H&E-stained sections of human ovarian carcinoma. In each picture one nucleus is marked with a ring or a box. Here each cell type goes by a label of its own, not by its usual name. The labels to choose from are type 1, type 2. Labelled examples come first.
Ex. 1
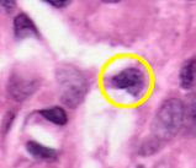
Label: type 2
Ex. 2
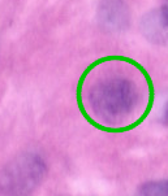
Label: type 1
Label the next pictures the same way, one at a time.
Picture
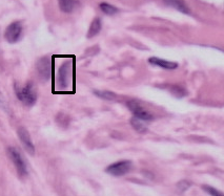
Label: type 1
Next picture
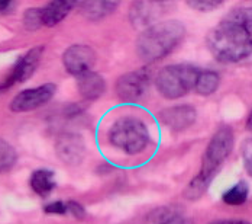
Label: type 2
